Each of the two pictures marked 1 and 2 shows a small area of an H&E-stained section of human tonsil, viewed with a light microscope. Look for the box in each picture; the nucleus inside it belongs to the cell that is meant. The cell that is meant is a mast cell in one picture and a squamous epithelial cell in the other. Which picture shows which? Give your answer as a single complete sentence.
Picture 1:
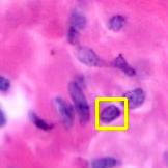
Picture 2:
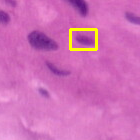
The cell in picture 1 is a mast cell, and the one in picture 2 is a squamous epithelial cell.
